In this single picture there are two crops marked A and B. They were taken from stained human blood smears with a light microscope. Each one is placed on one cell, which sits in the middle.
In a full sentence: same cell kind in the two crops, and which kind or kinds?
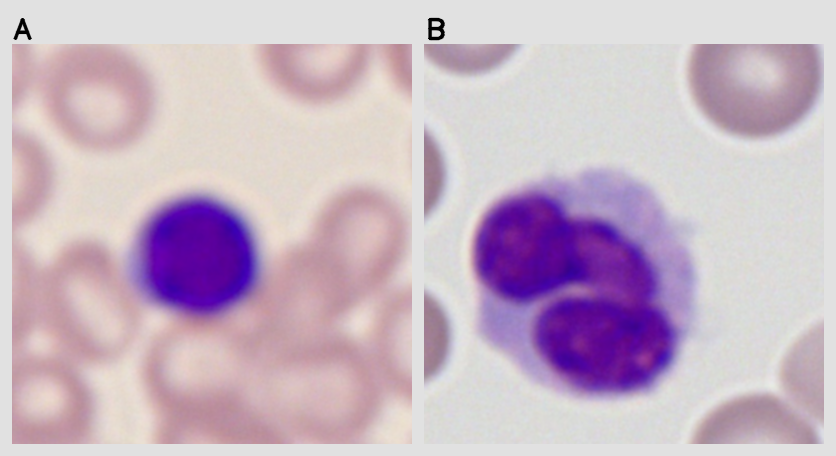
No; crop A is a lymphocyte, while crop B is a monocyte.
